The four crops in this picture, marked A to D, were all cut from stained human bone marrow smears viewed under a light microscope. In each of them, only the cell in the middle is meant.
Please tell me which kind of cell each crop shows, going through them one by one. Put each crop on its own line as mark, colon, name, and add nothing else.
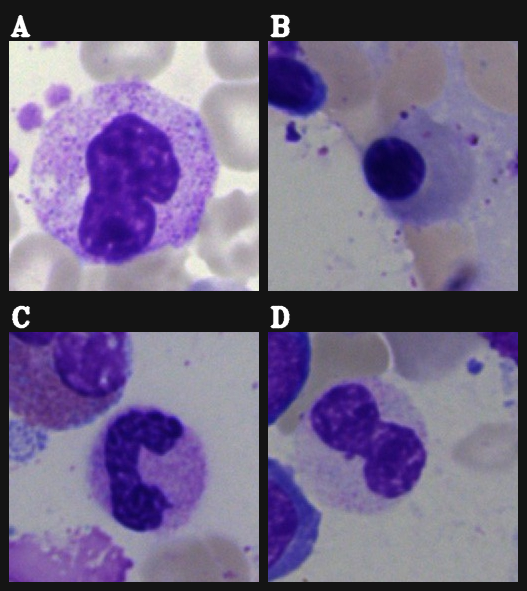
A: band neutrophil
B: erythroblast
C: segmented neutrophil
D: band neutrophil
